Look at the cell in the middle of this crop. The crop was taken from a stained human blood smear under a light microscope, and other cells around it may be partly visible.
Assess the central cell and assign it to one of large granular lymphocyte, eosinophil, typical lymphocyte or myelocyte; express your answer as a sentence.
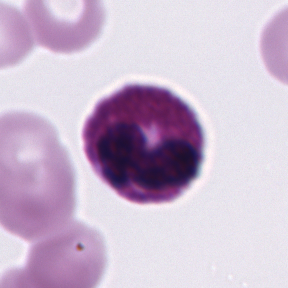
The cell centered in this field of view is an eosinophil.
